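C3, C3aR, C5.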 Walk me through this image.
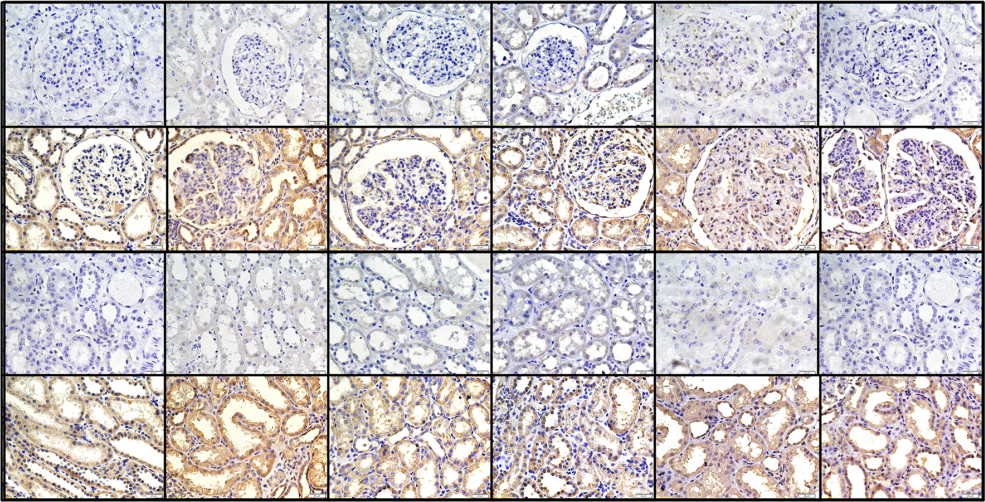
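This grid of small fields shows renal cortex: glomeruli and renal tubules, with brown chromogen on a blue hematoxylin counterstain. In two rows the tissue is nearly all pale blue with only faint beige. In the other two rows brown stain fills the tubular epithelial cytoplasm and lies over the glomerular tufts, and the tubule lumina look more dilated.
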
